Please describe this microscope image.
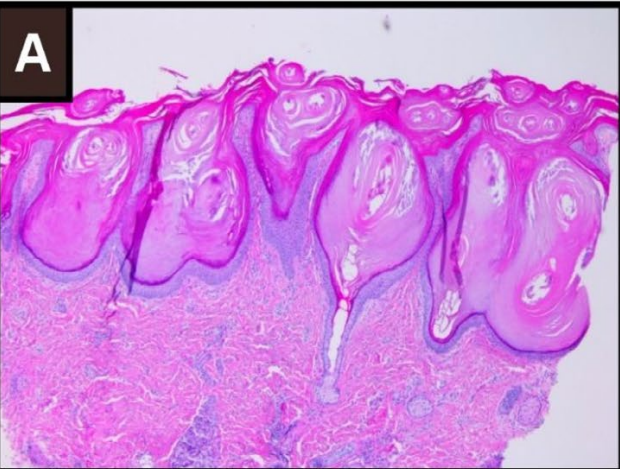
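This is skin at low magnification, with epidermis above and dermis below, dominated by several widened follicular openings plugged with keratin. The openings are broad, cup- or flask-shaped invaginations of the epidermis that reach into the upper dermis. Each is filled with pink, concentrically layered keratin, and some plugs show small round whorls within them. A thick pink layer of compact keratin covers the surface between the openings. The epidermis lining the plugs is a thin band of purple basal and spinous cells, and the dermis beneath is pink fibrous tissue with scattered clusters of small dark inflammatory cells.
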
